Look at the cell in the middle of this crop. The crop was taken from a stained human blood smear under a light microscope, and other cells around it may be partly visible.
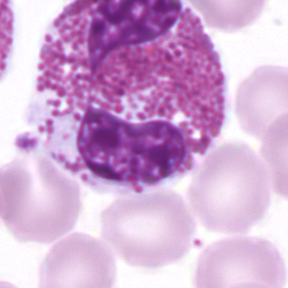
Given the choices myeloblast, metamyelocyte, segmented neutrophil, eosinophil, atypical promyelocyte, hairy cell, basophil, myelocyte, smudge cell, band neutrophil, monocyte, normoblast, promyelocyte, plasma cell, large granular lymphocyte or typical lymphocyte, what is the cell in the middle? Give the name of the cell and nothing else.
eosinophil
